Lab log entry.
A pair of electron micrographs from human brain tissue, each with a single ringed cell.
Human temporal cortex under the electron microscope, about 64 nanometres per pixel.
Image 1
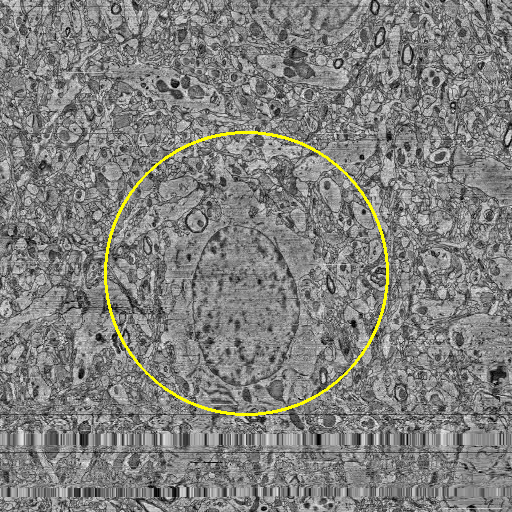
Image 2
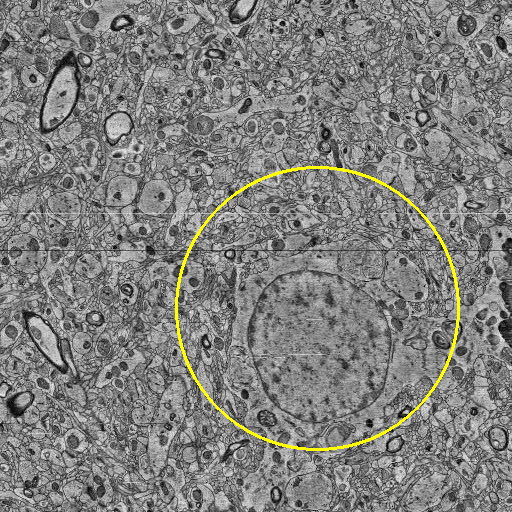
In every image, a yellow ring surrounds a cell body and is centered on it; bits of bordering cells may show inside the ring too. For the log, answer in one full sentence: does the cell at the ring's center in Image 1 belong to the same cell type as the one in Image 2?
Yes, the cells at the ring centers in Image 1 and Image 2 share one type.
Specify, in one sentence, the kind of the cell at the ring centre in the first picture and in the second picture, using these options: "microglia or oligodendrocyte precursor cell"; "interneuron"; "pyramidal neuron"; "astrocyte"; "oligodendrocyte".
In both pictures the ring is centred on an astrocyte.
